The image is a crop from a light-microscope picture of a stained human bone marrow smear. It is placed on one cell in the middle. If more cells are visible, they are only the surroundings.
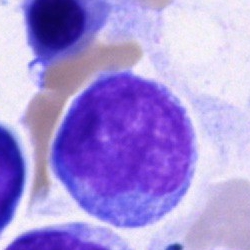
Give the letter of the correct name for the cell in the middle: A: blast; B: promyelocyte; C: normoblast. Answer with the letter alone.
A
